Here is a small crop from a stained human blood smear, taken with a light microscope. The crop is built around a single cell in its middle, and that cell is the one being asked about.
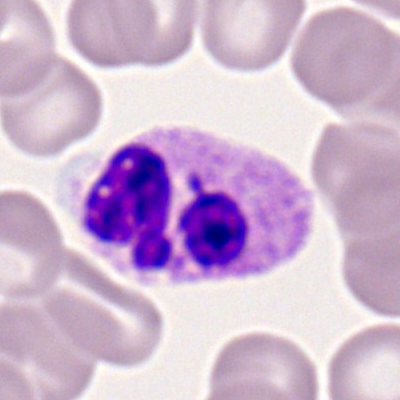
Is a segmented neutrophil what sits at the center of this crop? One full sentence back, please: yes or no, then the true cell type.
Yes, the cell lying in the centre of the crop is identified as a segmented neutrophil.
